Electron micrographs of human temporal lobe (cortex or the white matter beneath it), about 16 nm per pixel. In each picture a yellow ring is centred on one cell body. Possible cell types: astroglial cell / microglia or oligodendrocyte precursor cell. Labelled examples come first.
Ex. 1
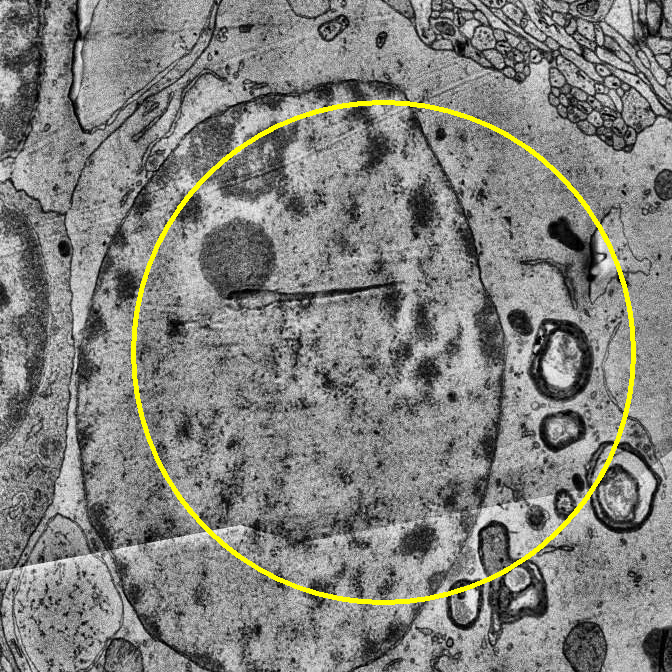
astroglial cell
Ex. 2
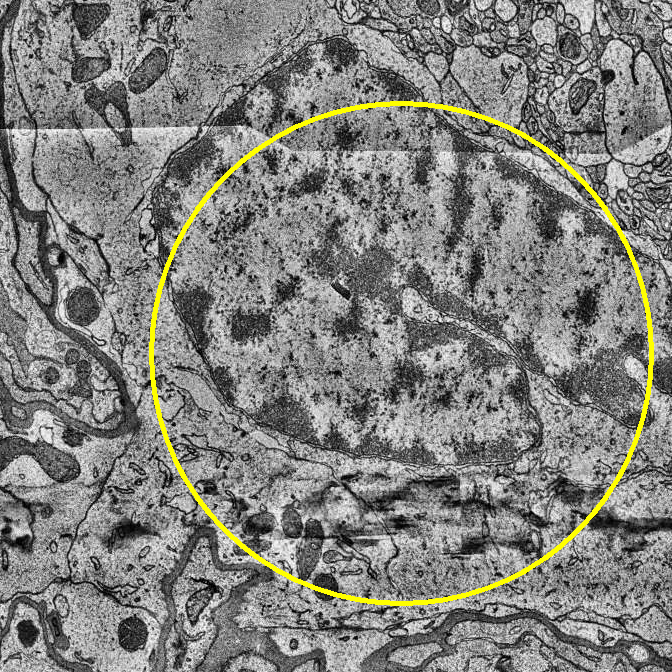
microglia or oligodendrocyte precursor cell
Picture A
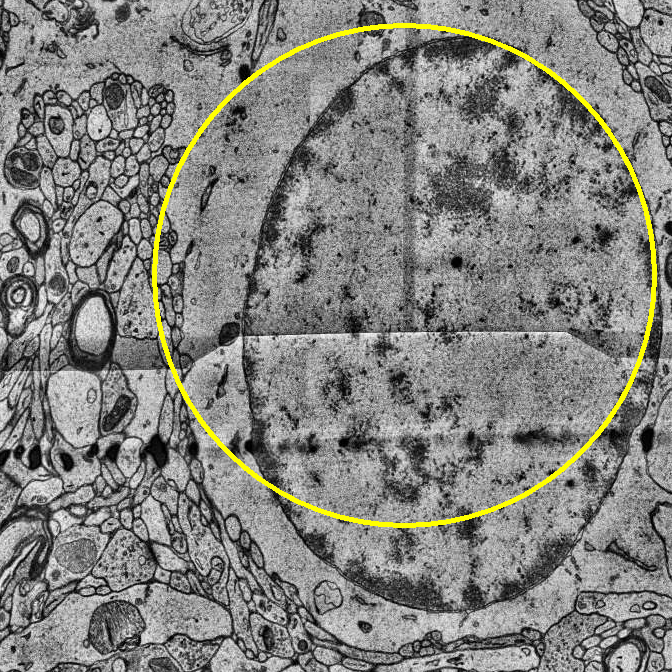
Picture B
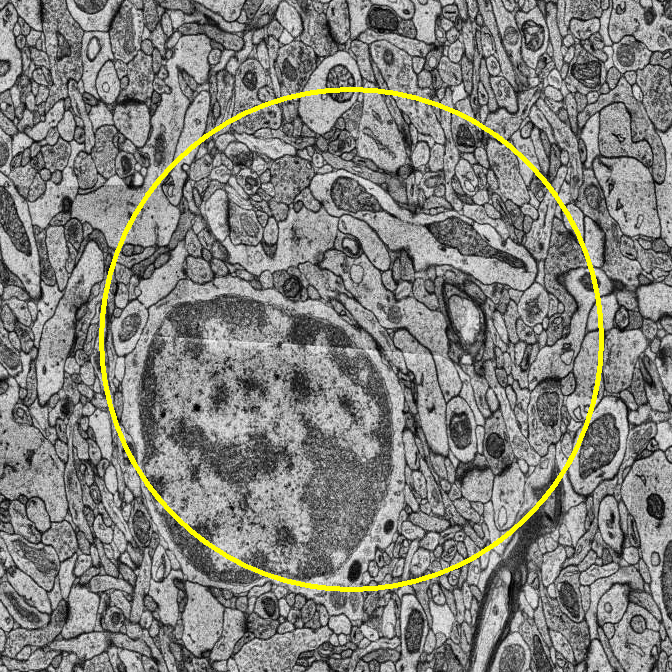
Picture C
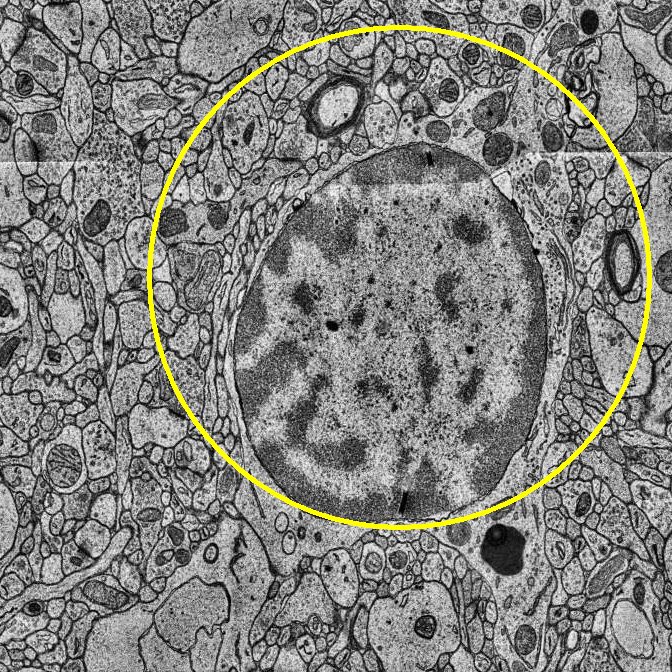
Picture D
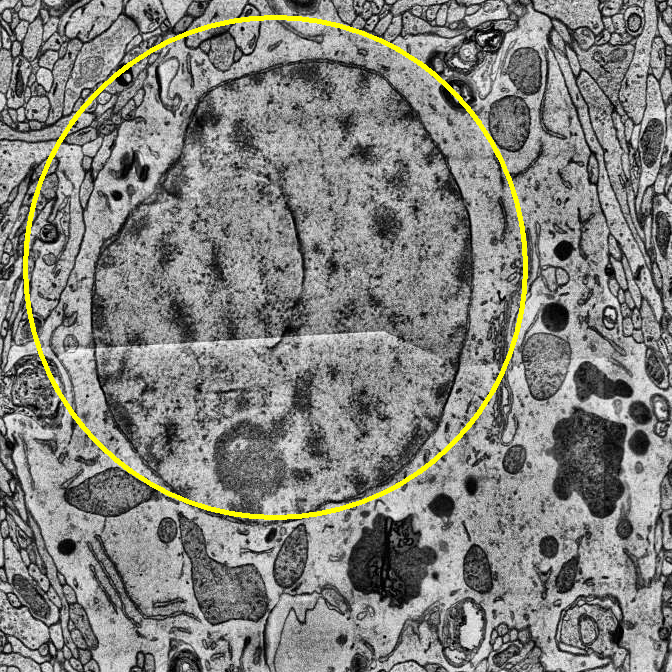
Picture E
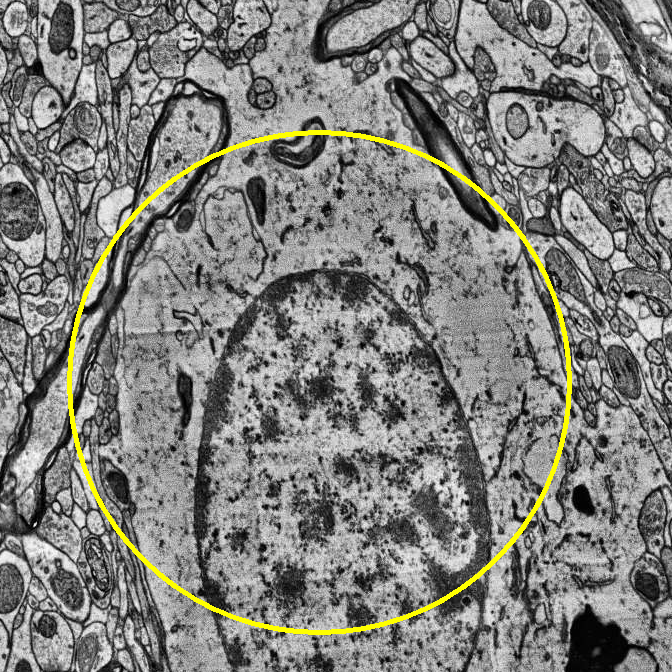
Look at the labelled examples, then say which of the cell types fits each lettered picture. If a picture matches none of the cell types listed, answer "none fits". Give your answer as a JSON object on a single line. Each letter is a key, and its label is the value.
{"A": "astroglial cell", "B": "microglia or oligodendrocyte precursor cell", "C": "microglia or oligodendrocyte precursor cell", "D": "astroglial cell", "E": "astroglial cell"}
